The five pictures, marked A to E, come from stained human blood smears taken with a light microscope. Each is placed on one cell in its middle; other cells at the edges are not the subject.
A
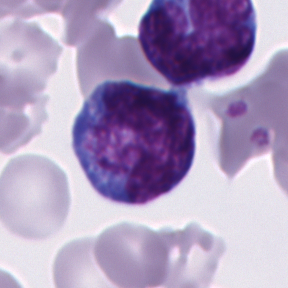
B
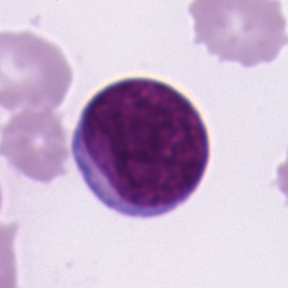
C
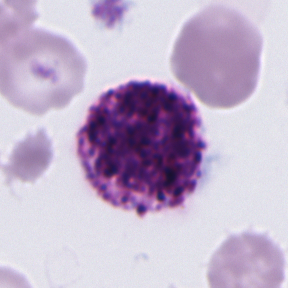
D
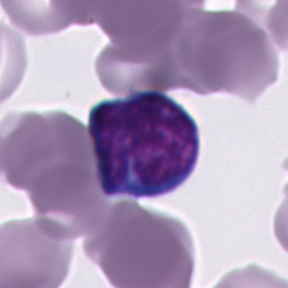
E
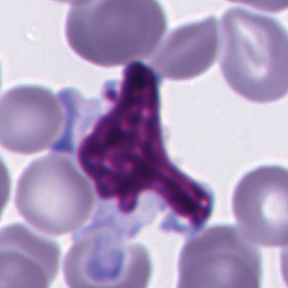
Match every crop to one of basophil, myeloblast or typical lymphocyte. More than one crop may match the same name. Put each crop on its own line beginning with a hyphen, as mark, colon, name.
- A: typical lymphocyte
- B: myeloblast
- C: basophil
- D: typical lymphocyte
- E: typical lymphocyte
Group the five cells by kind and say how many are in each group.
typical lymphocyte: 3
myeloblast: 1
basophil: 1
